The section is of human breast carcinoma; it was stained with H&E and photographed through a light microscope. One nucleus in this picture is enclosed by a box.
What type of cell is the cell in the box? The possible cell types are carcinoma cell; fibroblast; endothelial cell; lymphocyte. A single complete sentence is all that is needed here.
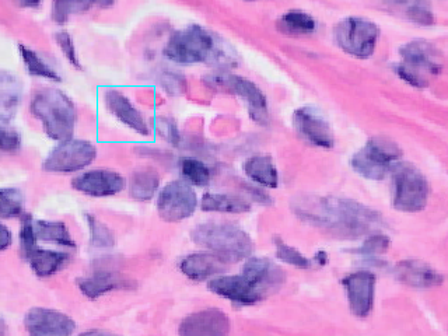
In the tissue under study, the cell in the box is an endothelial cell.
